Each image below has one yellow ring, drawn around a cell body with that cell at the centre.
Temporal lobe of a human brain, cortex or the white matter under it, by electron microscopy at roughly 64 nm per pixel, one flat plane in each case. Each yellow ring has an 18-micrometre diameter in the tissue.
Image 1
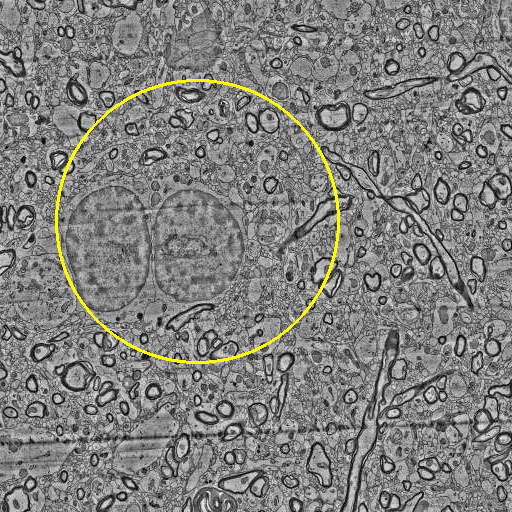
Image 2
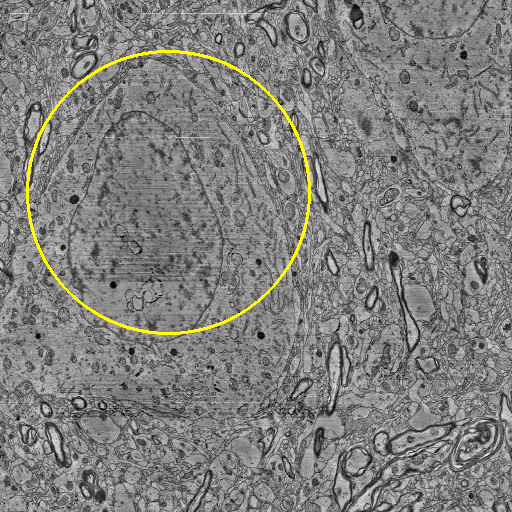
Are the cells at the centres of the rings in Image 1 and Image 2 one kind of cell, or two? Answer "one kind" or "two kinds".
two kinds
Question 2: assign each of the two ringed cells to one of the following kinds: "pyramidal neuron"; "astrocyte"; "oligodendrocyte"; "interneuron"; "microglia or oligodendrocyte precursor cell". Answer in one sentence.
The two cells are an oligodendrocyte in the first picture and a pyramidal neuron in the second.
